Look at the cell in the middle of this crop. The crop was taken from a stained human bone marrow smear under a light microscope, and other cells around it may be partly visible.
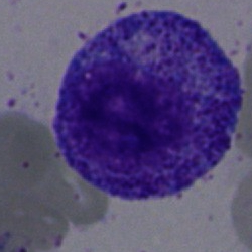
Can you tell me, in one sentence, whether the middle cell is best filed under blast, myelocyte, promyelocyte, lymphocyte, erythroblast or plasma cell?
In this smear crop, the middle cell is a promyelocyte.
